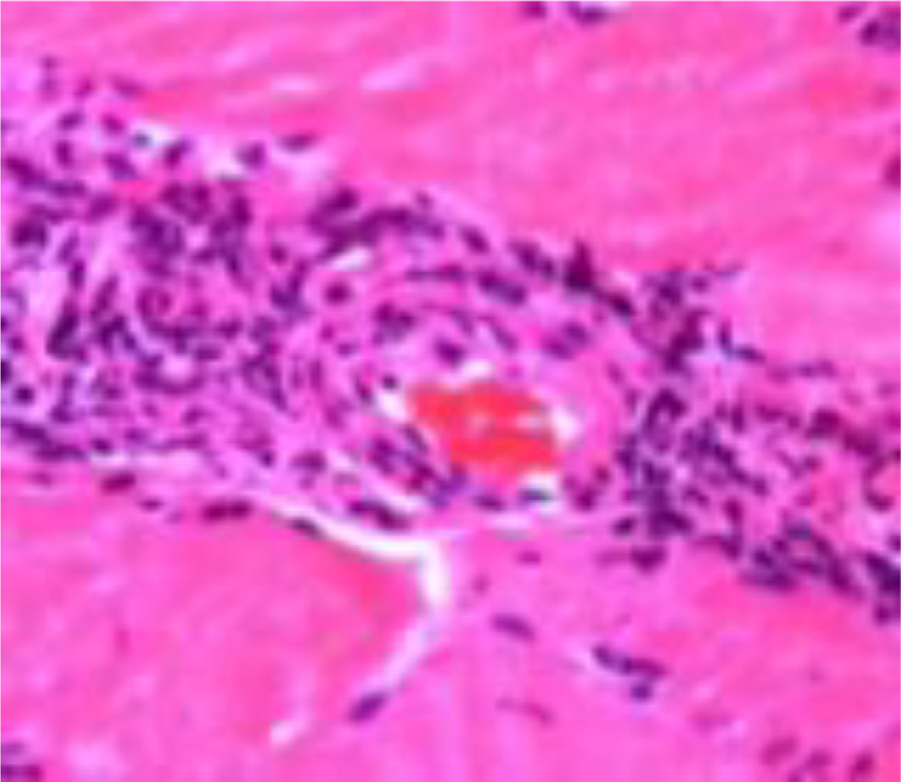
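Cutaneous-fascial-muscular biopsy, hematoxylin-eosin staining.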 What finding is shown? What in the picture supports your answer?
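A vessel in the centre has a lumen filled with bright red blood cells. Many small dark-purple nuclei crowd densely around the vessel. The crowded nuclei form a band through otherwise pale pink tissue.
Conclusion: perivascular inflammatory infiltrates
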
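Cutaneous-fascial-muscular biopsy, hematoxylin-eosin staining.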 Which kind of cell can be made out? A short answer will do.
lymphocytes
